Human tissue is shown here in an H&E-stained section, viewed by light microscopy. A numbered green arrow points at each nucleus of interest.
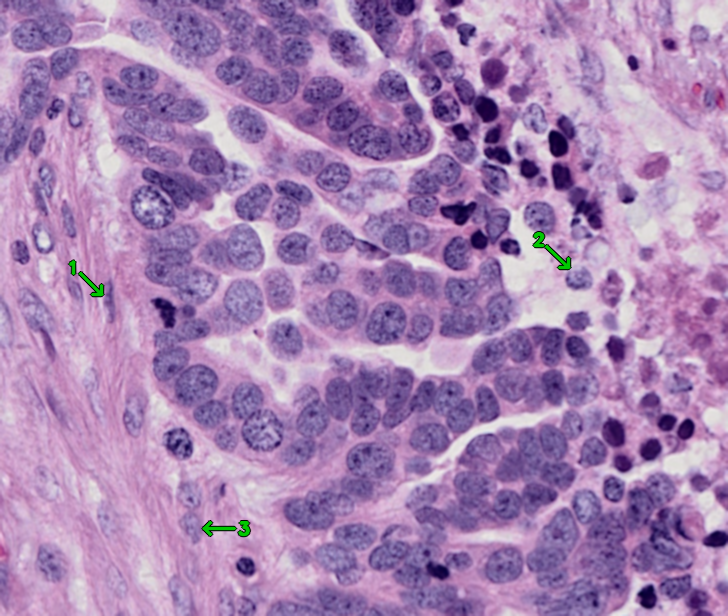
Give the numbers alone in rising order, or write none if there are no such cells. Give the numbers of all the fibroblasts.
1, 3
